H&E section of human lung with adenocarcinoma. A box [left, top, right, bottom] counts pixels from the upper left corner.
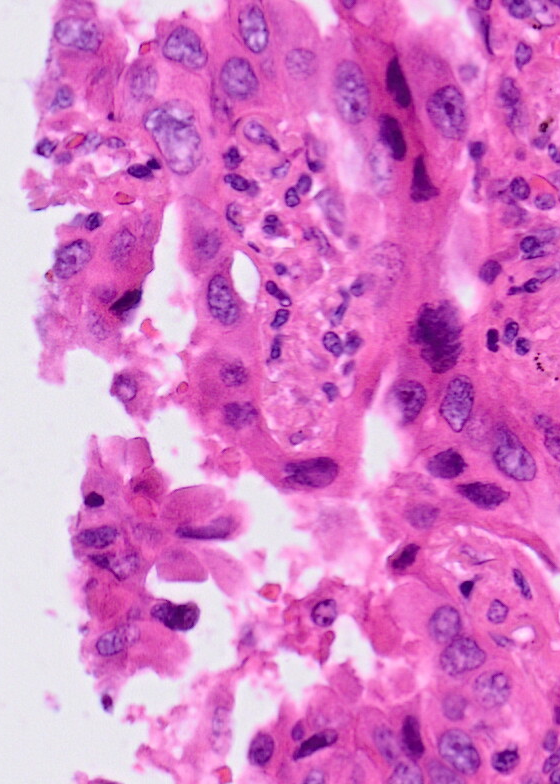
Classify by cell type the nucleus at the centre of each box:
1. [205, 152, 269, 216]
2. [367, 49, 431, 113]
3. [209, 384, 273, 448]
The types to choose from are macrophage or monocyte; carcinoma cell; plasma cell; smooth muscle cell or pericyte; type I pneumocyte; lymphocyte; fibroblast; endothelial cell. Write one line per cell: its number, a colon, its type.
1: lymphocyte
2: carcinoma cell
3: carcinoma cell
